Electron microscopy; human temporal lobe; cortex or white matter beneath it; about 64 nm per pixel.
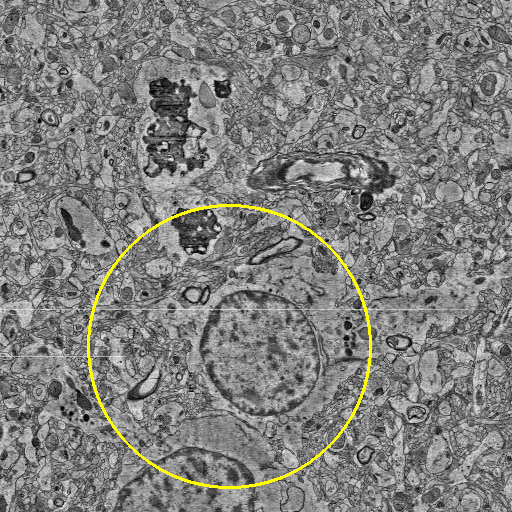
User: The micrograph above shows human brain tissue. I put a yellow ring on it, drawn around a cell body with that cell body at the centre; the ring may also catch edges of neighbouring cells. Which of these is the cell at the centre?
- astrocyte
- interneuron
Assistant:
astrocyte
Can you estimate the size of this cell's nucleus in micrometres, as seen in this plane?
In this plane, the nucleus of the cell at the centre of the ring measures about 8 by 7 micrometres.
